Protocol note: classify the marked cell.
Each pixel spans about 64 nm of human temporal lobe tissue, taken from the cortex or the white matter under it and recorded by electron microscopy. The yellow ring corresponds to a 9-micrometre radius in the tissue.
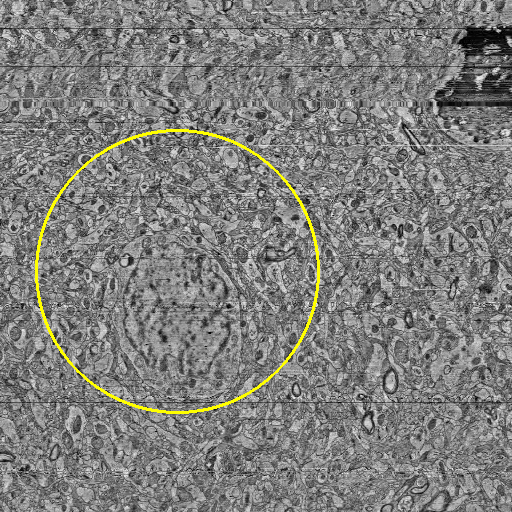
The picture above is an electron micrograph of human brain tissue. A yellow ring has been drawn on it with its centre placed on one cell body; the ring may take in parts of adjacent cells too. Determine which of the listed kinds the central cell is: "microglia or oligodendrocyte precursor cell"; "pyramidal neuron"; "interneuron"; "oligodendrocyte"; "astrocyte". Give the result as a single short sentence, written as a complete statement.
The central cell is an interneuron.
